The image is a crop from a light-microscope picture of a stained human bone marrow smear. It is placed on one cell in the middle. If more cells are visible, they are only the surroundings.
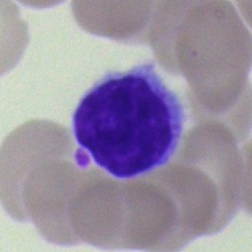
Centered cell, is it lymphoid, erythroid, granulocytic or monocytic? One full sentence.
The central cell is regarded as belonging to the lymphoid lineage.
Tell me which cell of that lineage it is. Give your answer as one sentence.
The centrally placed cell is classified as a lymphocyte.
